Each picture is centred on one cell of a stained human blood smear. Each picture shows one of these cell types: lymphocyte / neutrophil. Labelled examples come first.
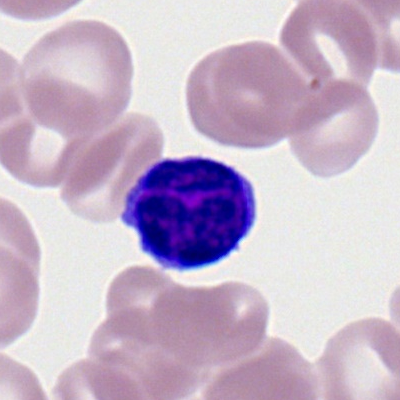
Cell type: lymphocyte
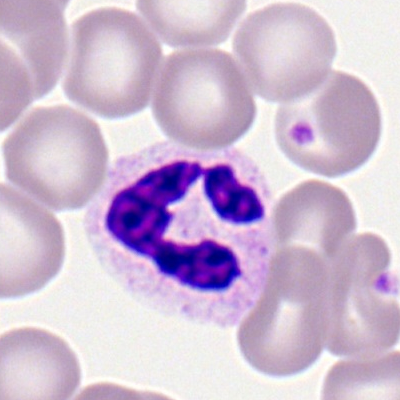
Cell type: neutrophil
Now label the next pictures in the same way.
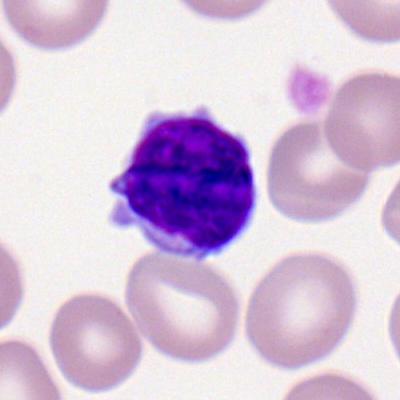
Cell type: lymphocyte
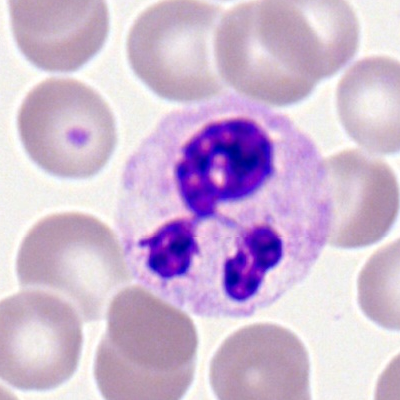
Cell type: neutrophil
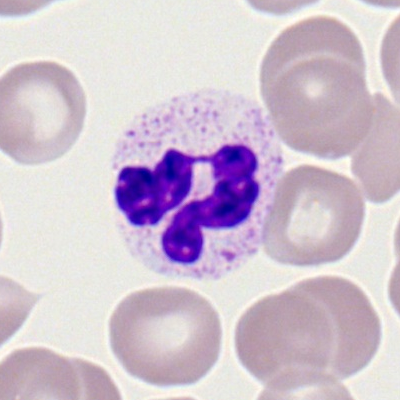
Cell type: neutrophil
